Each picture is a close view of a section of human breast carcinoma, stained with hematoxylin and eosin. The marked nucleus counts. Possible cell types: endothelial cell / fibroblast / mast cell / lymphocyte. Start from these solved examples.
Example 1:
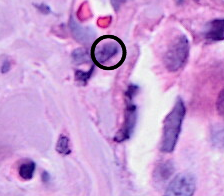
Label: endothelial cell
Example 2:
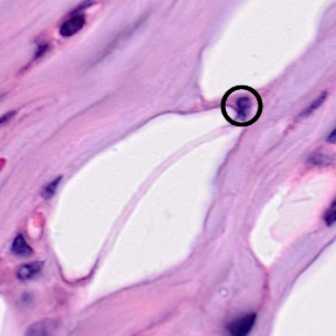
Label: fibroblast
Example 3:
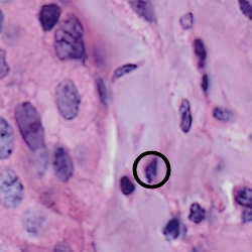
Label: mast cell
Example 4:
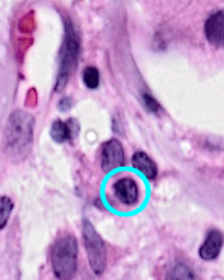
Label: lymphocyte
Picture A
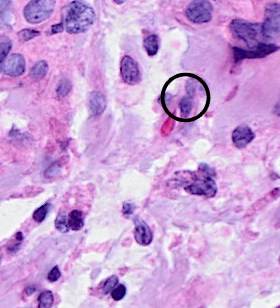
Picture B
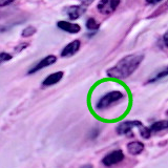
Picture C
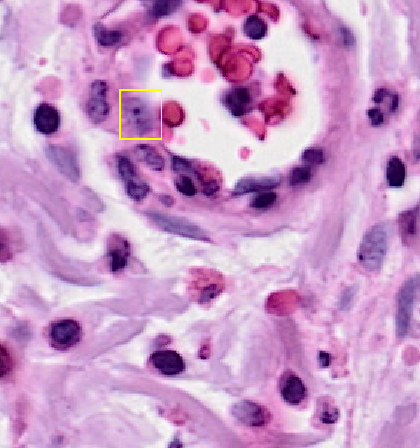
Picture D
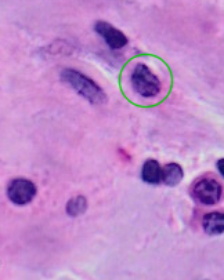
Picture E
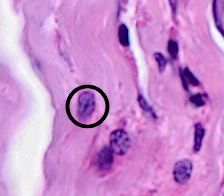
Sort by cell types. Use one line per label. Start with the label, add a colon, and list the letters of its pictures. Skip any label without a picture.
endothelial cell: A, C
mast cell: E
lymphocyte: B, D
